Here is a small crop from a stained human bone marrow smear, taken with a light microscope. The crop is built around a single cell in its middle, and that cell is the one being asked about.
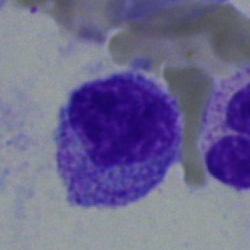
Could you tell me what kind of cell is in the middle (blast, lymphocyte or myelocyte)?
myelocyte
